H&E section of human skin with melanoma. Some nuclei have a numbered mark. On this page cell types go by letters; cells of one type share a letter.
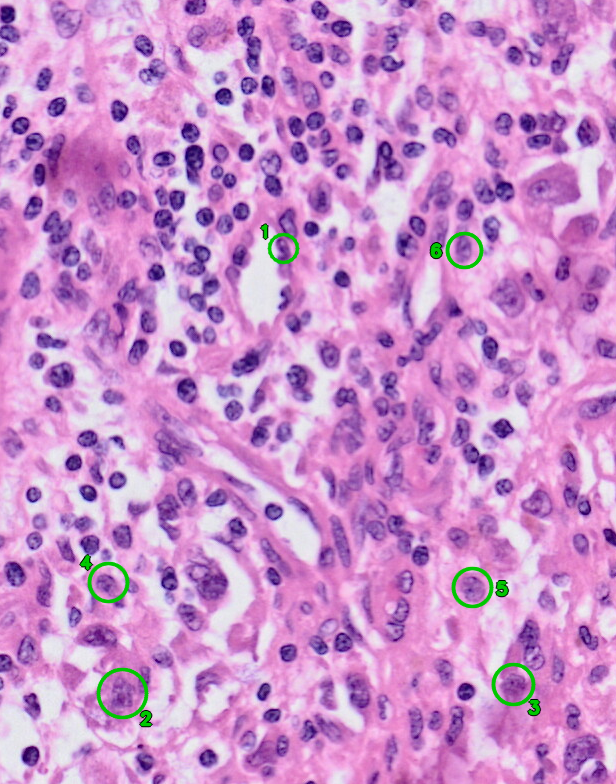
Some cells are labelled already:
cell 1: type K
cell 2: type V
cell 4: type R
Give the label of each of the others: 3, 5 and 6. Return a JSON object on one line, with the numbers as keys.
{"3": "type V", "5": "type R", "6": "type R"}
